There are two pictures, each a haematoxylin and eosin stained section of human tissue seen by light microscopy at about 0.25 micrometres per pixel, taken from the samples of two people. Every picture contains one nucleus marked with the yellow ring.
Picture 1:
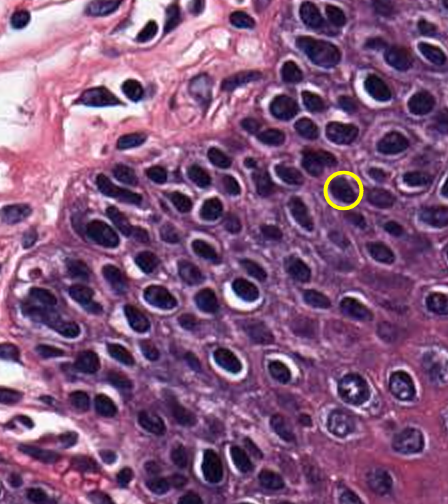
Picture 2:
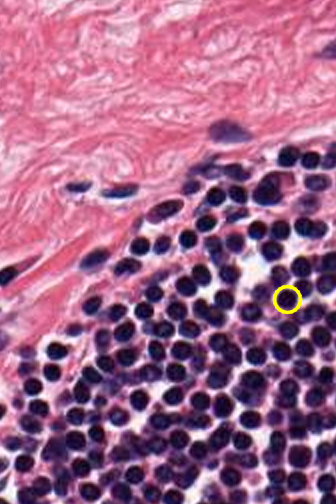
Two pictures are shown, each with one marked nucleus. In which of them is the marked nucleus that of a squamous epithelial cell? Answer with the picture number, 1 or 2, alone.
1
